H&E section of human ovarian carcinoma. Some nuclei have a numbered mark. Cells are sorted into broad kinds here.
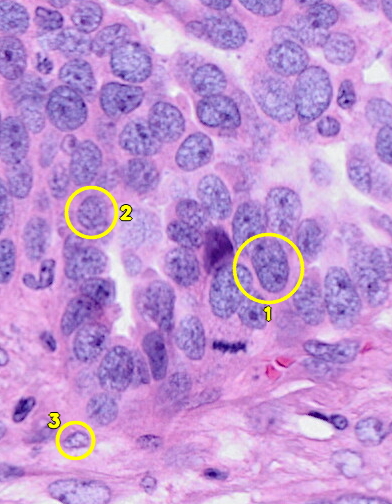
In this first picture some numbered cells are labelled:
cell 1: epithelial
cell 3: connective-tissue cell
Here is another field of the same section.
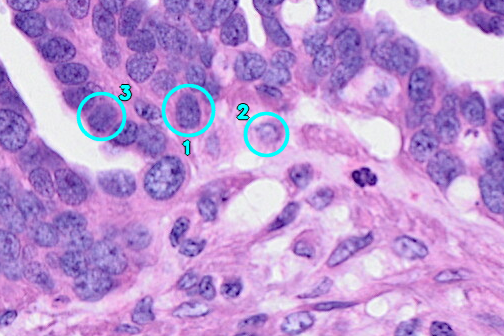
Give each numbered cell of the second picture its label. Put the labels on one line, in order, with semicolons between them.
epithelial; connective-tissue cell; epithelial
